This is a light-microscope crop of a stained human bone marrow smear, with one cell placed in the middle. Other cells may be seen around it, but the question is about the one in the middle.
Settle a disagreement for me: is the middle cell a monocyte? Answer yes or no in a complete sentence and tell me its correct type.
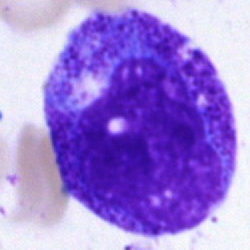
No, this cell in the middle is a promyelocyte, so it is not a monocyte.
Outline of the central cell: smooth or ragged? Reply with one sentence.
Its outline is smooth, with no projections anywhere along the edge.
